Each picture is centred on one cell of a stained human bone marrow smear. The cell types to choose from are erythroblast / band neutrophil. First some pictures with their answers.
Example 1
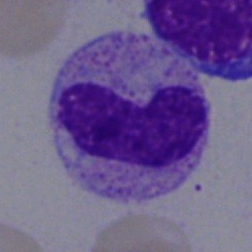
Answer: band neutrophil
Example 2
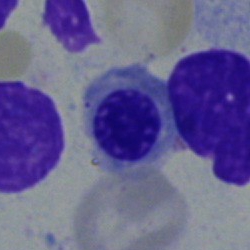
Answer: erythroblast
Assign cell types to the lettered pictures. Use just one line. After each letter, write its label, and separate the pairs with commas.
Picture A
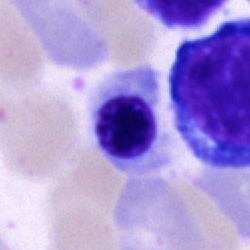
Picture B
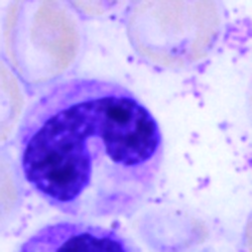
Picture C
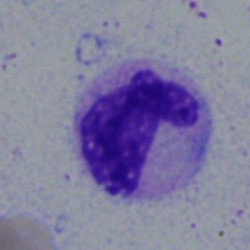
A erythroblast, B band neutrophil, C band neutrophil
